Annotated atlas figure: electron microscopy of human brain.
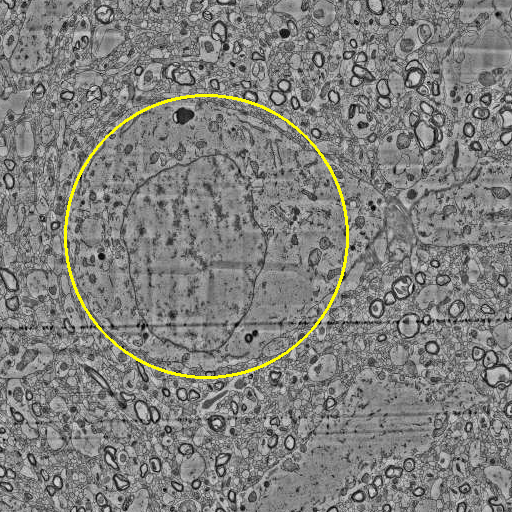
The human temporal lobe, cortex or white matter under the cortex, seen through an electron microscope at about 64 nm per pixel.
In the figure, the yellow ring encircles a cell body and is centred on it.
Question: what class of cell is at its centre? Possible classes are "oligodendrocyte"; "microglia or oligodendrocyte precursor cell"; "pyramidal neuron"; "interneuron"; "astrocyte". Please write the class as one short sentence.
The yellow ring is drawn around a pyramidal neuron.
